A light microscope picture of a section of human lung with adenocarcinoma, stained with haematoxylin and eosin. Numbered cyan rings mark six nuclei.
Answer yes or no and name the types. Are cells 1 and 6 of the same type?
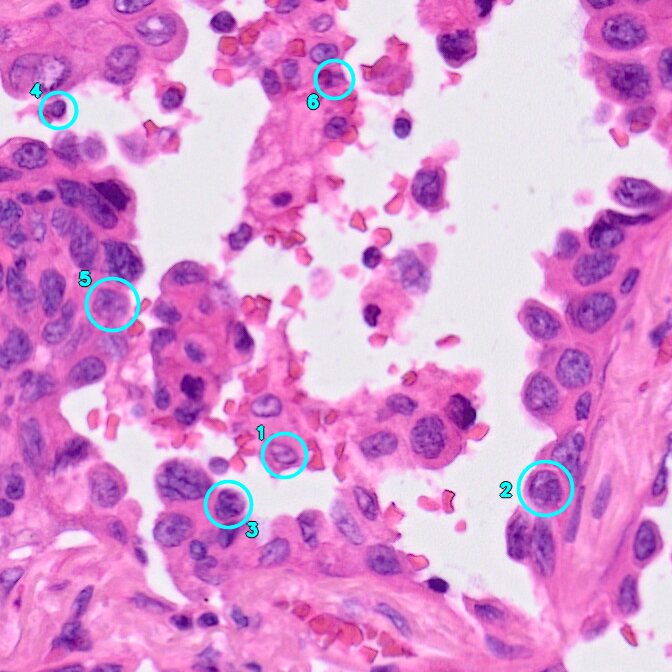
Yes, cells number 1 and number 6 are both macrophages or monocytes.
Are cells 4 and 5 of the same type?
No, unlike cell 4, which is a lymphocyte, cell 5 is a carcinoma cell.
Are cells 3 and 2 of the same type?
Yes: cells 3 and 2 are both carcinoma cells.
